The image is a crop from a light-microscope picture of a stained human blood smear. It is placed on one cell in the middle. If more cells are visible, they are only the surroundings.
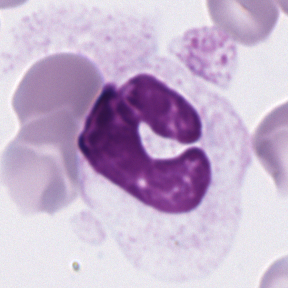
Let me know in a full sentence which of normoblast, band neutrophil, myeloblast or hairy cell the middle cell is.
The cell of interest, in the center, is a band neutrophil.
